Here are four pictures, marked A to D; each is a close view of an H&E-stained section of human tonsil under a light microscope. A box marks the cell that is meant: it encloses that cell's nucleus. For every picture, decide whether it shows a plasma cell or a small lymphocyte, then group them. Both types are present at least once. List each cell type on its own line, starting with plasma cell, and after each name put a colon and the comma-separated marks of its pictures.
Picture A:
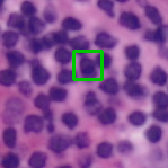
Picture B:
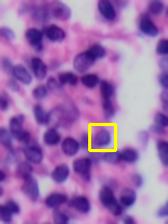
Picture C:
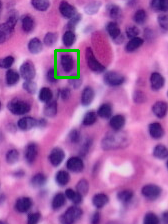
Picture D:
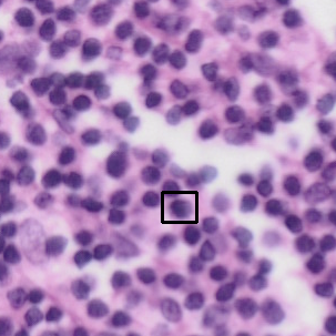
plasma cell: C
small lymphocyte: A, B, D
